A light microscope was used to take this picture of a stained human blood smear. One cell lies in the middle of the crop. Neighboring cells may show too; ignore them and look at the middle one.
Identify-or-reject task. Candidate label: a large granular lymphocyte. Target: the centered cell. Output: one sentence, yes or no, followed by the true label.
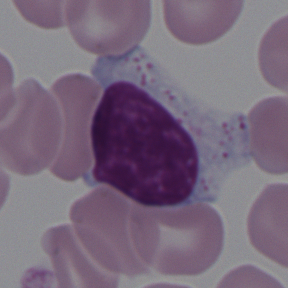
Yes, as regards the cell in the middle, it is a large granular lymphocyte.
